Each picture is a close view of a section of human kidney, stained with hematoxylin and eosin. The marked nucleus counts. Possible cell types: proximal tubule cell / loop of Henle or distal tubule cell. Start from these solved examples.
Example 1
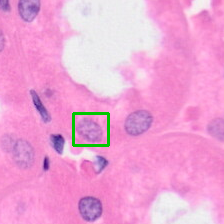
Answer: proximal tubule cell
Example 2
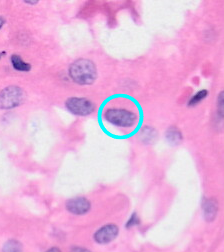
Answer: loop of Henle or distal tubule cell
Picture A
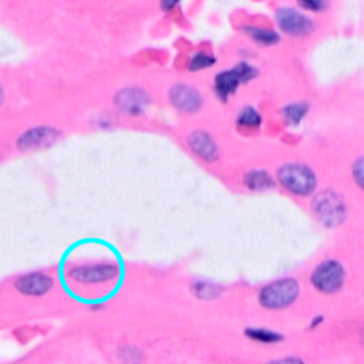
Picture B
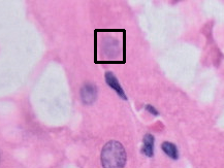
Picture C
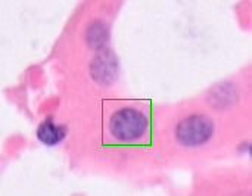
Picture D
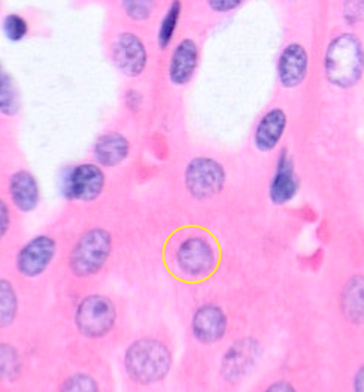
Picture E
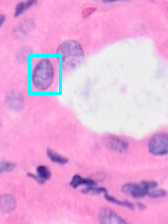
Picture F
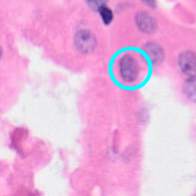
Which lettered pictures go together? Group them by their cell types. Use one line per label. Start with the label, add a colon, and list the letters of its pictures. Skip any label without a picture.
proximal tubule cell: B, D
loop of Henle or distal tubule cell: A, C, E, F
